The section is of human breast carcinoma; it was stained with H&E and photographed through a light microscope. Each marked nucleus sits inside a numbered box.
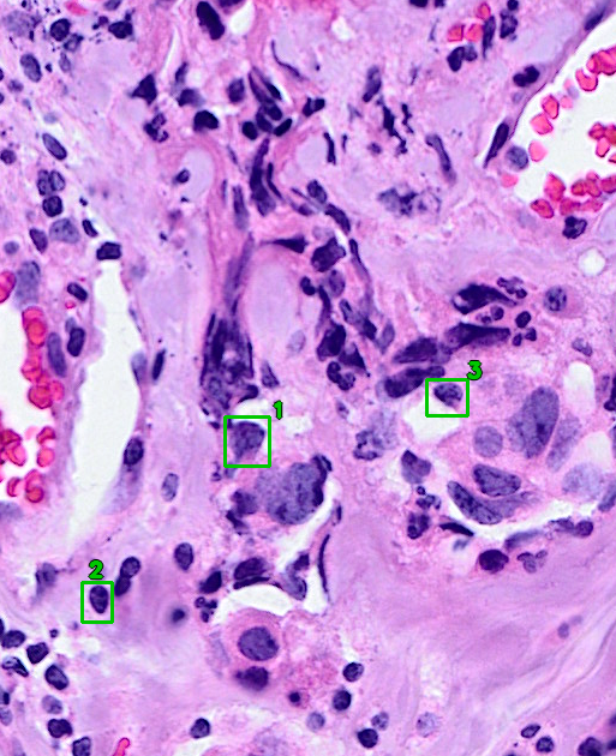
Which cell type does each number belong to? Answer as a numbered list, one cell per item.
1. carcinoma cell
2. lymphocyte
3. lymphocyte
